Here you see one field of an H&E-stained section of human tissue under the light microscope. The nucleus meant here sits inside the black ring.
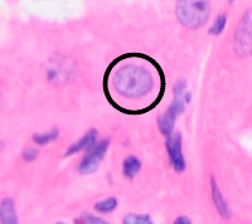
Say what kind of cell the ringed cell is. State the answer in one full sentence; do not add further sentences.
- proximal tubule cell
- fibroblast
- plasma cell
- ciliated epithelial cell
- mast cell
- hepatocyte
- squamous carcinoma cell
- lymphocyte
What the ringed cell represents is a proximal tubule cell.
